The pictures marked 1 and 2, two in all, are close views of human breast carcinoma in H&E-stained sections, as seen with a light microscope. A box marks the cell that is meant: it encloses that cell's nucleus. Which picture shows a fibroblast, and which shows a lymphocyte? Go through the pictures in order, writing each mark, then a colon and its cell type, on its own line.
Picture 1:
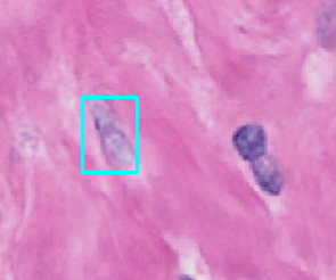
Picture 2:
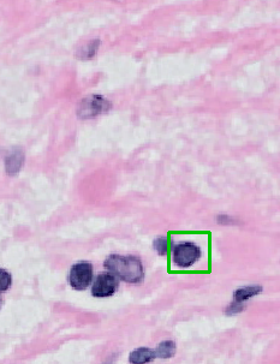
1: fibroblast
2: lymphocyte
